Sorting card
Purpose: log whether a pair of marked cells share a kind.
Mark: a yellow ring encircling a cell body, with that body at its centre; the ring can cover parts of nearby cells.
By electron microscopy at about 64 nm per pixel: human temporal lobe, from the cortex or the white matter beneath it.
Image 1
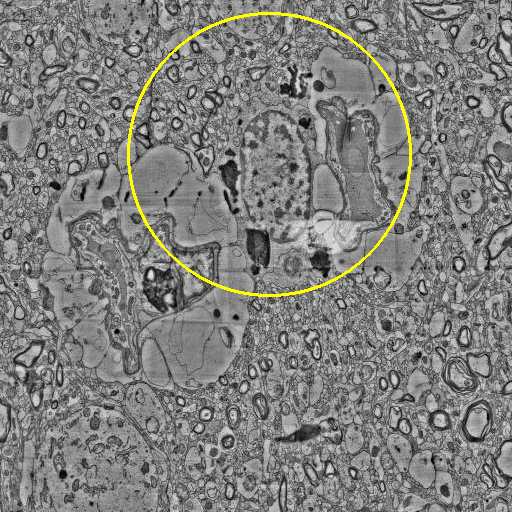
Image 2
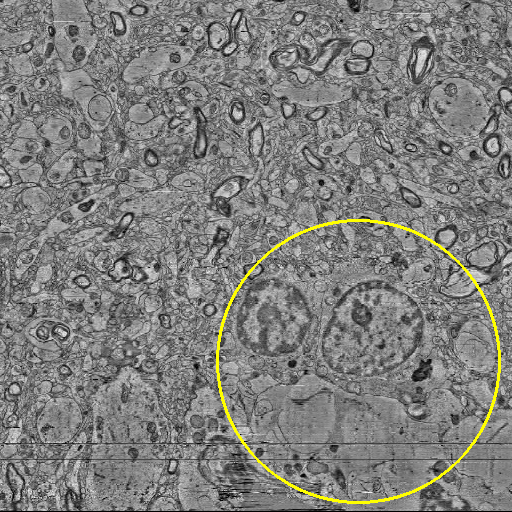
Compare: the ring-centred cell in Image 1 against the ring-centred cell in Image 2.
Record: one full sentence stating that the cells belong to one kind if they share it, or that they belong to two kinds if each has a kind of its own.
Across Images 1 and 2, the two ring-centred cells belong to one kind.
